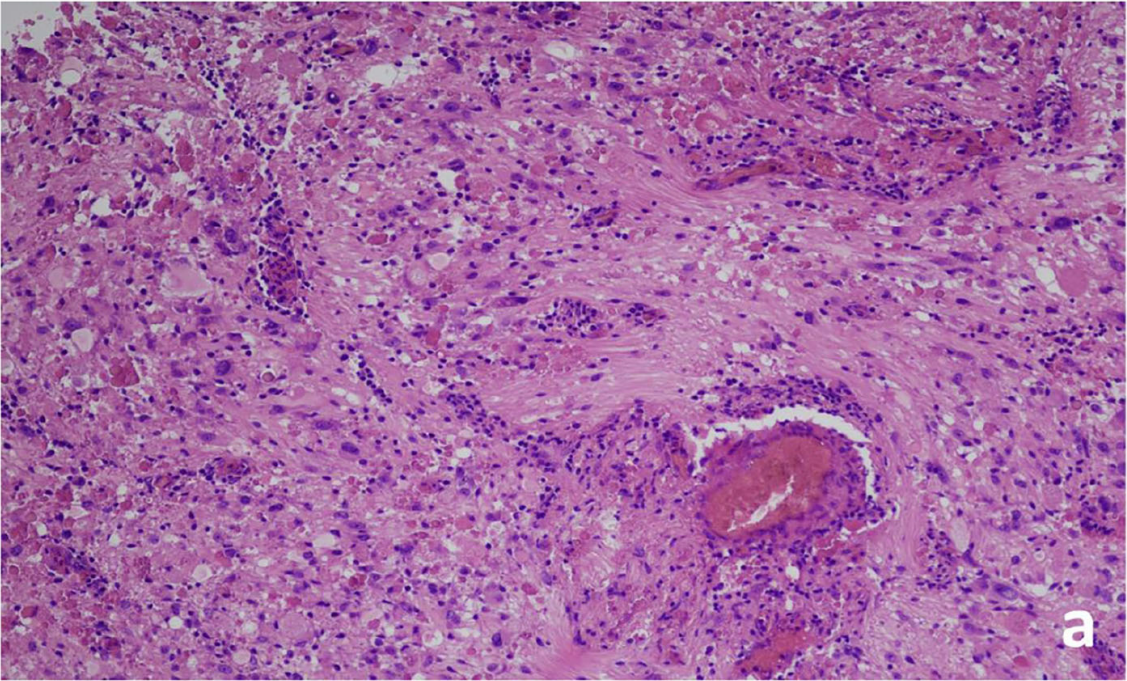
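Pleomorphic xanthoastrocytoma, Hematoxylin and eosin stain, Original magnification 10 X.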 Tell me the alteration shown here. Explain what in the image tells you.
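Perivascular lymphocyte cuffing. Small round dark nuclei cluster around blood vessels. A vessel with a thick pink wall is rimmed by a band of small dark cells.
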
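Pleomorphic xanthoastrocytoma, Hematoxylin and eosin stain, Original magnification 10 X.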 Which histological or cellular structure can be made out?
Granular bodies.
